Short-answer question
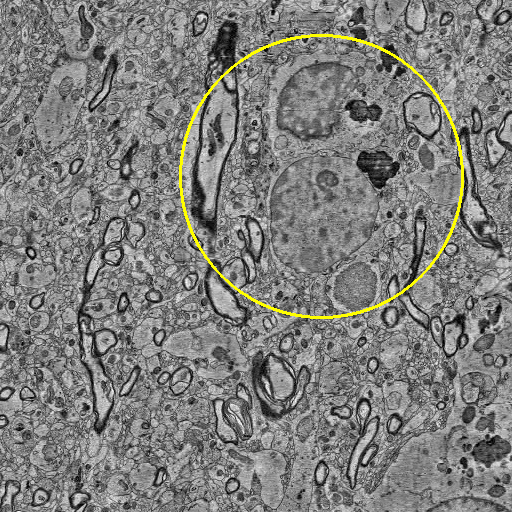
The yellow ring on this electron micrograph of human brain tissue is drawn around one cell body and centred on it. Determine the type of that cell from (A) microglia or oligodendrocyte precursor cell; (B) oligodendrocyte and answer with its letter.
B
